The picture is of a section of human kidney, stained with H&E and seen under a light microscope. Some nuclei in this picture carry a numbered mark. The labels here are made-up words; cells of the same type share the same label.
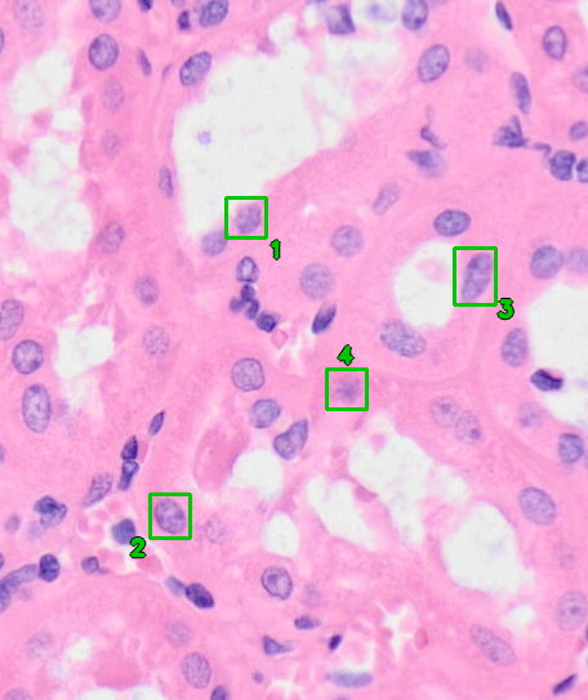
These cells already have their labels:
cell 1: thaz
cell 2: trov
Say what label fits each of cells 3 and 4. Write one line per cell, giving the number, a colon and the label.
3: thaz
4: trov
